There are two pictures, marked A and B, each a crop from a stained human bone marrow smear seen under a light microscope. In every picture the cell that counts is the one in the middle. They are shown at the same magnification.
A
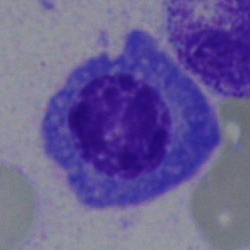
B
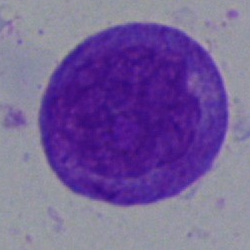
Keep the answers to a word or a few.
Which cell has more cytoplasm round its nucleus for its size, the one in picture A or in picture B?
A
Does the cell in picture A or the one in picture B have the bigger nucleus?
B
